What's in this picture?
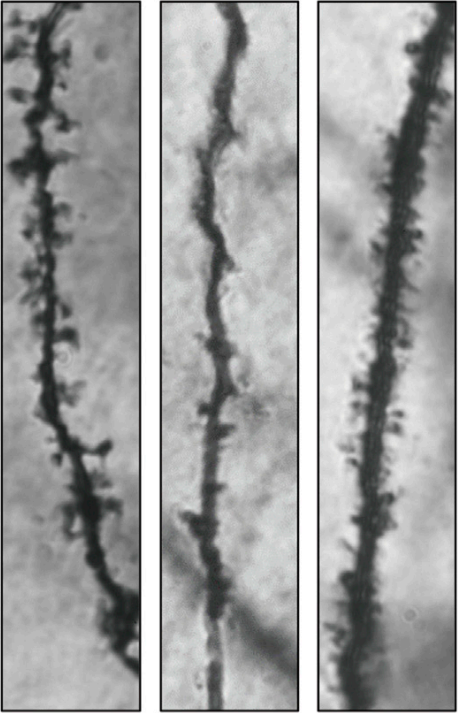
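Short dark protrusions, the spines, stick out from the sides of the shafts. The left strip carries many closely spaced, knobby spines. The middle shaft is thinner and smoother, with few protrusions, while the right shaft bears a moderate number of short spines.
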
